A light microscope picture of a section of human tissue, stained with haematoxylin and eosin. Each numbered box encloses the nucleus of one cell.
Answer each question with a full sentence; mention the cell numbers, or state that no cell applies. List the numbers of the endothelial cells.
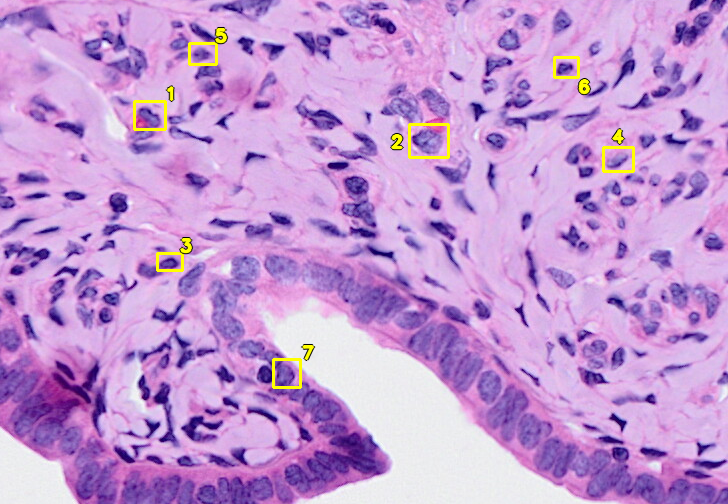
The cells numbered 1 and 2 are, by type, endothelial cells.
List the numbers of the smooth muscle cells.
When it comes to cells 3, 4, 5 and 6, they are smooth muscle cells.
